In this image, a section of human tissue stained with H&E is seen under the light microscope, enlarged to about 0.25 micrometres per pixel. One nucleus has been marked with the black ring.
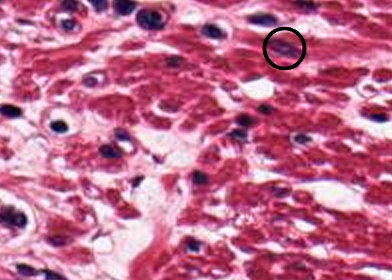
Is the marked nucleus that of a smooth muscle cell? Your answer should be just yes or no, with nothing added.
yes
